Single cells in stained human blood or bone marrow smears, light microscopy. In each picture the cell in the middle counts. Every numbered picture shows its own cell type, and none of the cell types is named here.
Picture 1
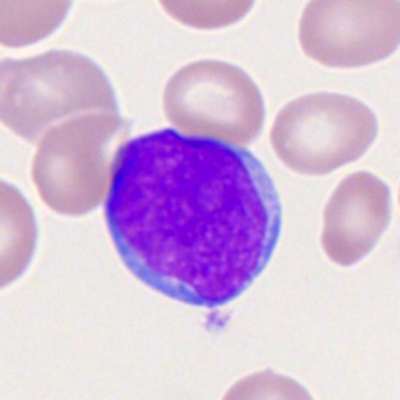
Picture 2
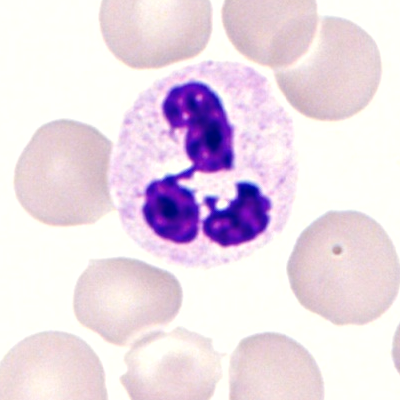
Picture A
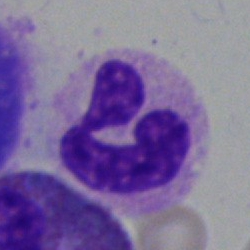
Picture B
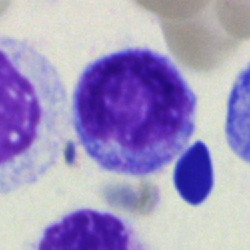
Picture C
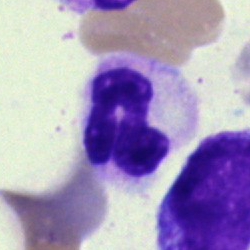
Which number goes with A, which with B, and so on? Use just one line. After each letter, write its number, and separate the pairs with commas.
A 2, B 1, C 2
